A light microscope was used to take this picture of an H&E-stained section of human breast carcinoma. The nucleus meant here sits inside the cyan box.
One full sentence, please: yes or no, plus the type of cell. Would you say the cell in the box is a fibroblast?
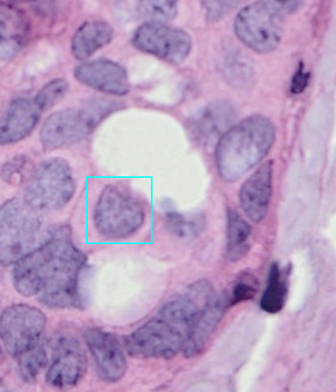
No, the cell in the box represents a carcinoma cell and does not represent a fibroblast.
